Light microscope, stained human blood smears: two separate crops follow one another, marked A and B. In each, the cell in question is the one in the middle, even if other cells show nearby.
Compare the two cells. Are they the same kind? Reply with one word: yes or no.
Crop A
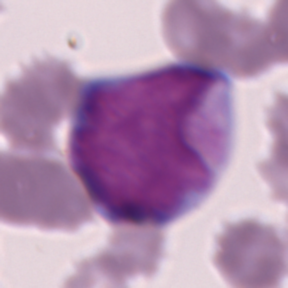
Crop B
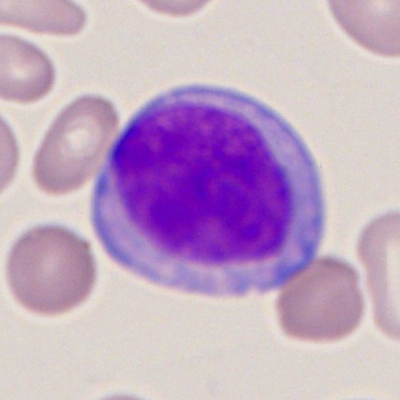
yes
